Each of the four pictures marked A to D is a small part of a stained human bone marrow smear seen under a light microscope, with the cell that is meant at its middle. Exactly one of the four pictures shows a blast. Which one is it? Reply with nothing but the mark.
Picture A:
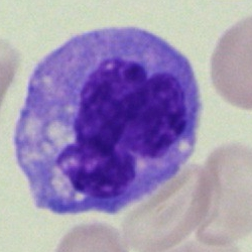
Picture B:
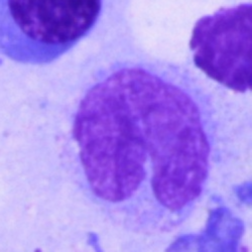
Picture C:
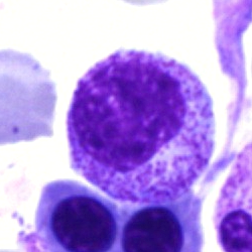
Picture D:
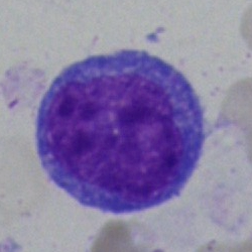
D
